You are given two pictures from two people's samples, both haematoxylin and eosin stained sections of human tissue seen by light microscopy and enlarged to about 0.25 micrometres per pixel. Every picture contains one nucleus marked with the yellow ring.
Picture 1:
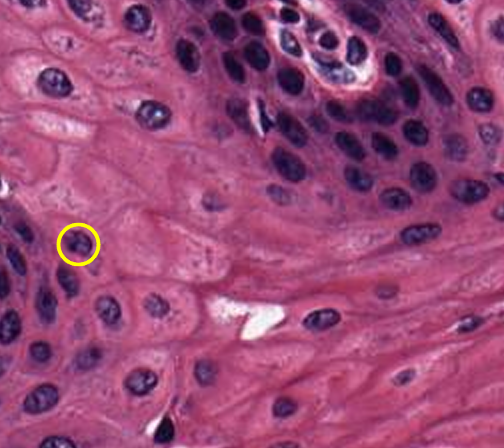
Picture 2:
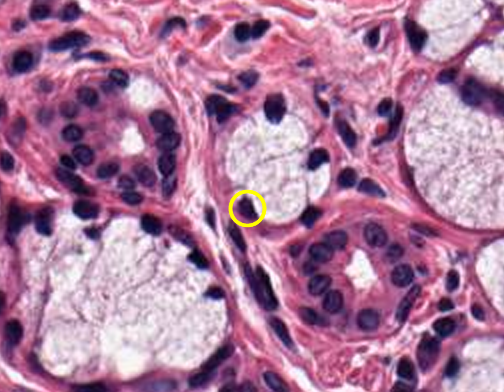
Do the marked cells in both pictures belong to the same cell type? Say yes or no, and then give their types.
No, the first is a squamous epithelial cell and the second a mucous gland cell.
